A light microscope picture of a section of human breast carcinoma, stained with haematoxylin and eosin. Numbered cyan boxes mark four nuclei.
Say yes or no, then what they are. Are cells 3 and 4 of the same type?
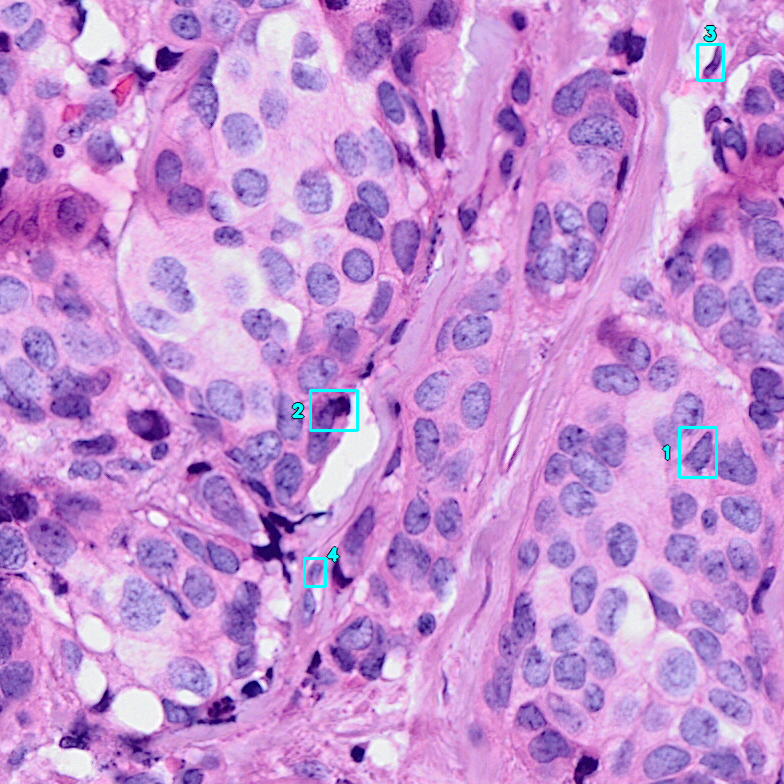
No, sorry, cell 3 is a fibroblast and cell 4 is an endothelial cell.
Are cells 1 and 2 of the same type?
Yes, it is true that cells 1 and 2 are both carcinoma cells.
